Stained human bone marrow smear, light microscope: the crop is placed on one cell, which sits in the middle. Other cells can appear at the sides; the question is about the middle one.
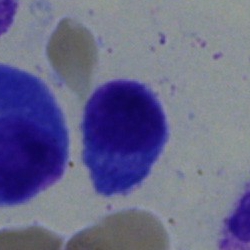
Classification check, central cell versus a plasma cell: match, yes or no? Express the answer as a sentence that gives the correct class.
Yes, the cell that is in the middle is a plasma cell.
